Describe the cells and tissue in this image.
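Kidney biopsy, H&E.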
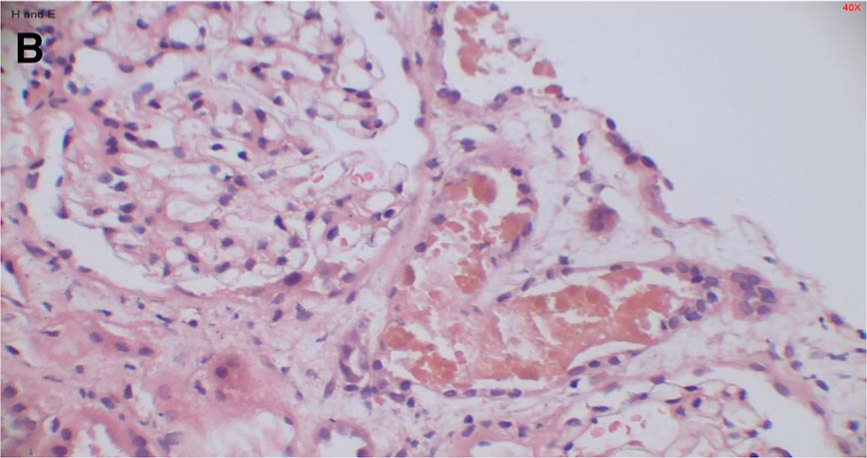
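On the left lies a glomerulus, a tuft of capillary loops with many small dark oval nuclei and pale, vacuolated-looking spaces, enclosed by a thin capsule. To the right a tubule is widened, its lining cells flattened and thinned, with scattered nuclei along its edge. Its lumen is packed with clumped, granular golden-brown to orange material forming a cast.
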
